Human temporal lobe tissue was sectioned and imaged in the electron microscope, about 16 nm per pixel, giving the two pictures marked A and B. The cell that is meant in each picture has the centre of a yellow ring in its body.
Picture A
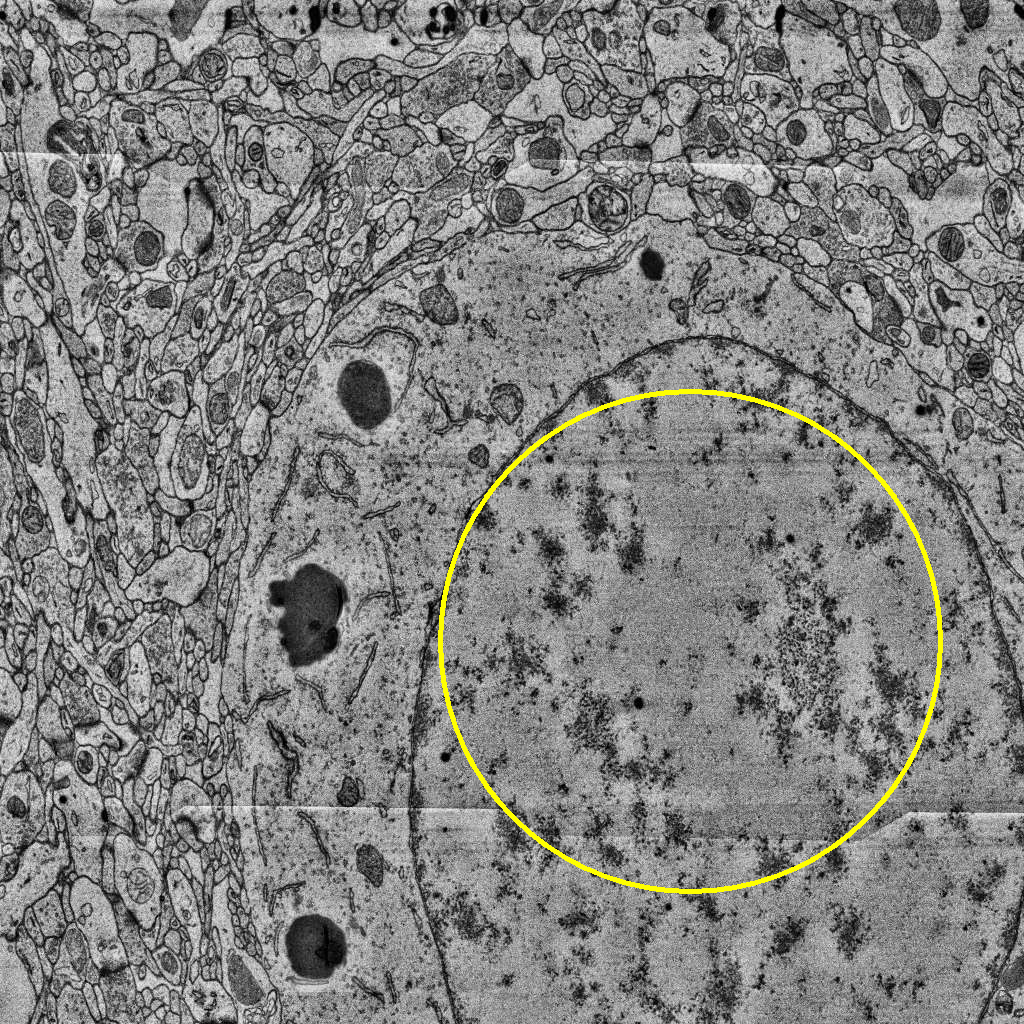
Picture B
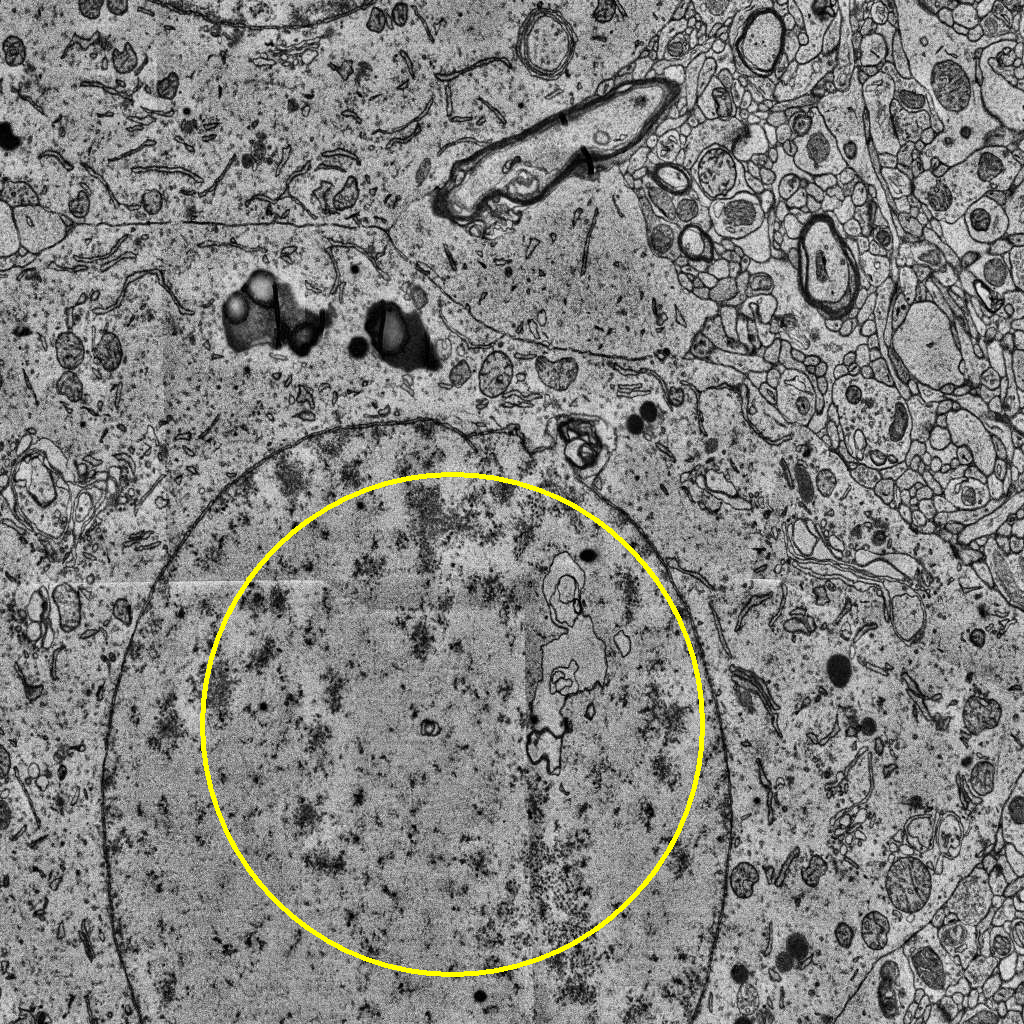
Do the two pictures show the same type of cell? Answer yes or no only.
yes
